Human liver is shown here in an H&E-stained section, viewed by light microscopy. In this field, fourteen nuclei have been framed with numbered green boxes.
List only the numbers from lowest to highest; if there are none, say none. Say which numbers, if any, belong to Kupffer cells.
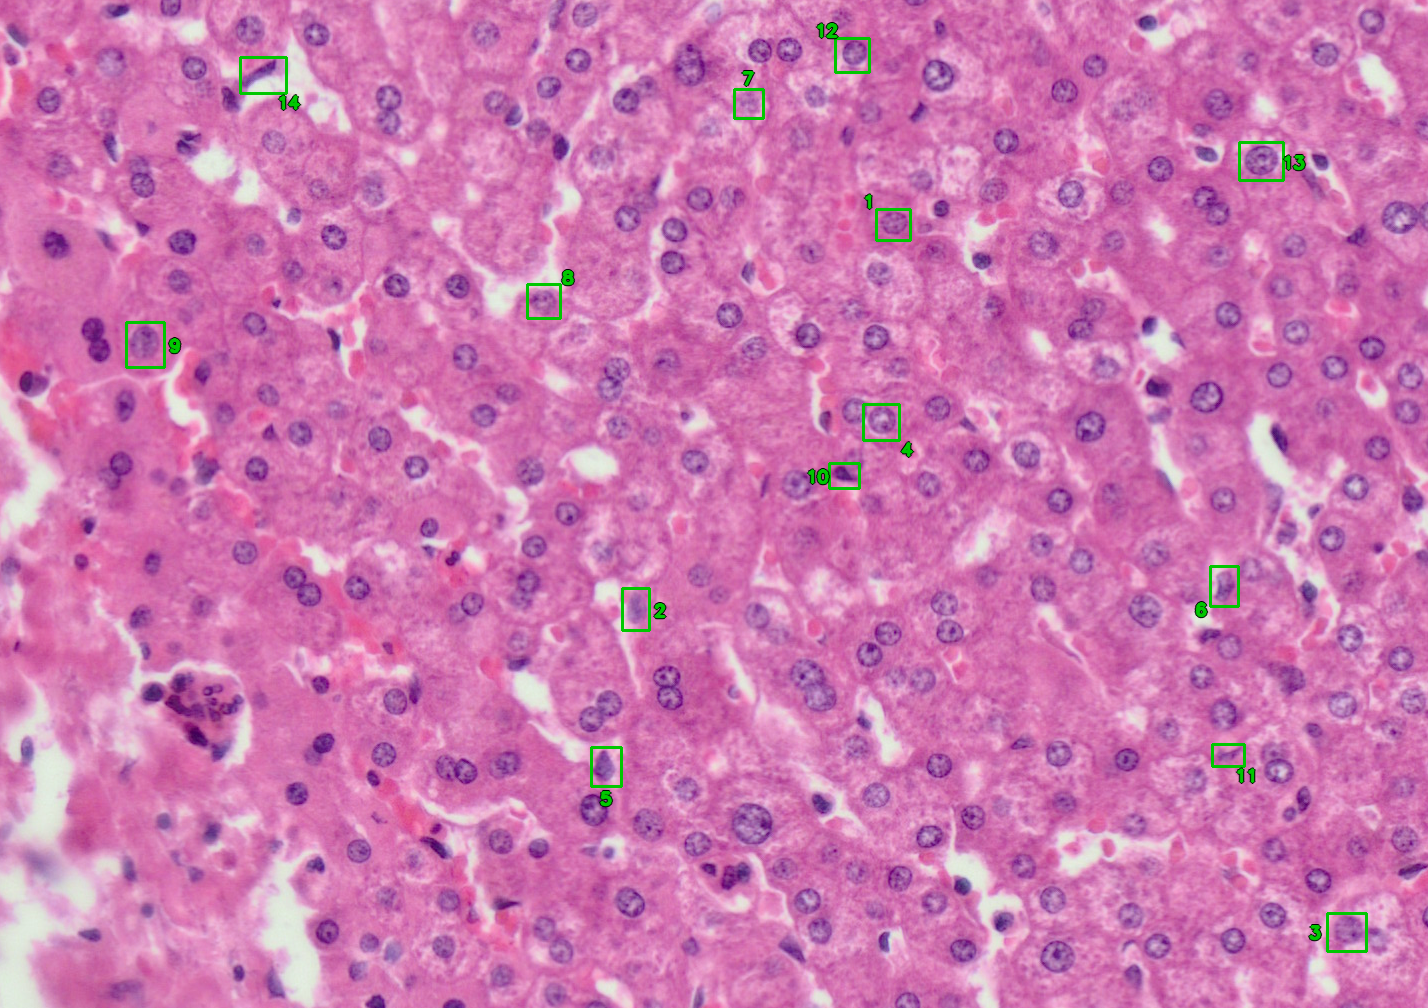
14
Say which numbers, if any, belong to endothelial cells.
2, 5, 6, 11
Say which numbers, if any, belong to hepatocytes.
1, 3, 4, 7, 8, 9, 12, 13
